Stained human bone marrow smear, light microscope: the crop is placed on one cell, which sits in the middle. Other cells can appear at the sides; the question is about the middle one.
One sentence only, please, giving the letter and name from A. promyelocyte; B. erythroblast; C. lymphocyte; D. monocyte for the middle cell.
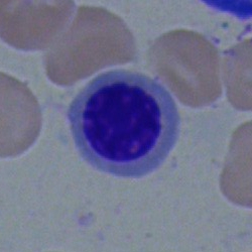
The central cell in this crop is an erythroblast, corresponding to option B, the correct option.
